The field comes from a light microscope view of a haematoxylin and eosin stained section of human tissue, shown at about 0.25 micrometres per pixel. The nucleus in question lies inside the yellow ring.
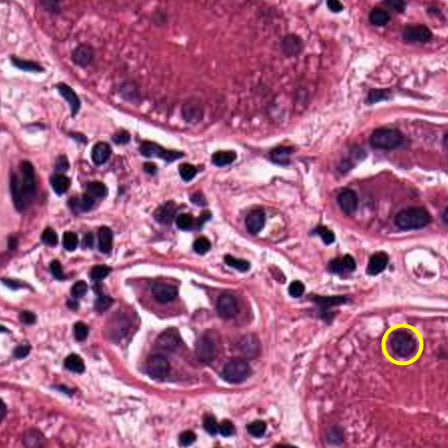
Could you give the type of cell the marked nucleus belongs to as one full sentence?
The marked nucleus is contained in a proximal tubule cell.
